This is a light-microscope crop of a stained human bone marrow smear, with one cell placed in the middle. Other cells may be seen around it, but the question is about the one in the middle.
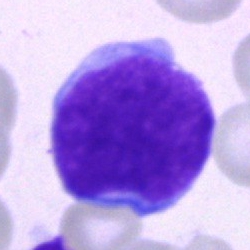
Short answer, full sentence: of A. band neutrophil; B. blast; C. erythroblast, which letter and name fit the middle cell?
Option B is accurate; the centrally placed cell is a blast.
